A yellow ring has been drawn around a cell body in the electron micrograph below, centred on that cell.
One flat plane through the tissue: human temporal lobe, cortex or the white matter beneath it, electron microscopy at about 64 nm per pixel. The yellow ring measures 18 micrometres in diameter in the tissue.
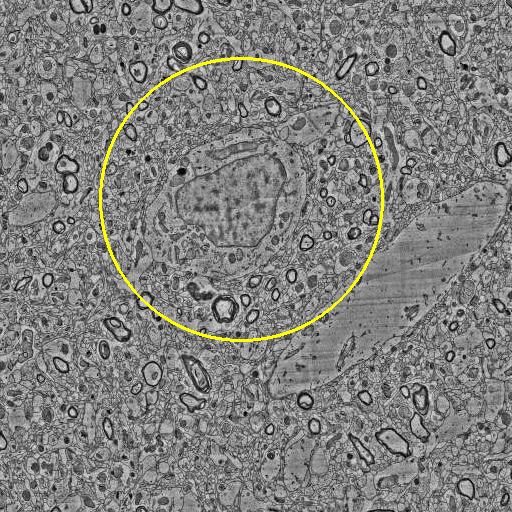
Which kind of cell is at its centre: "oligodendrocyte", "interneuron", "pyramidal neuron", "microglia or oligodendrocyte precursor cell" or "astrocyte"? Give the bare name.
interneuron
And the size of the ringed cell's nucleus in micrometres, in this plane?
Approximately 7 micrometres long and 6 micrometres wide, in this plane.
